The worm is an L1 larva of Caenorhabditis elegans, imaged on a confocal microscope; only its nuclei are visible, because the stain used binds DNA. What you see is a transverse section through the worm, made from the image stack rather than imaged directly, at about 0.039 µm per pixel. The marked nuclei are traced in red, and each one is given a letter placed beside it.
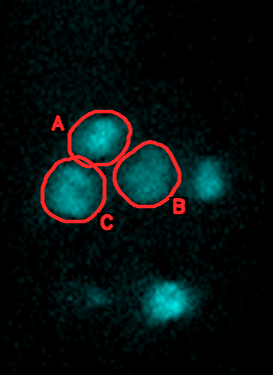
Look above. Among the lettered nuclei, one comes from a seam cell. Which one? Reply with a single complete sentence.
C is the one that belongs to a seam cell.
